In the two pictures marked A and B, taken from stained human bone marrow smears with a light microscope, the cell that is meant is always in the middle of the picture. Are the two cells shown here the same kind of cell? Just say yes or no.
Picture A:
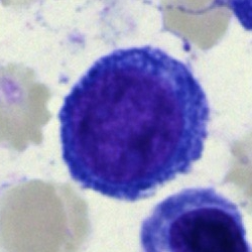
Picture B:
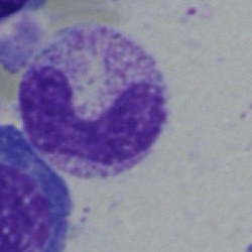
no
